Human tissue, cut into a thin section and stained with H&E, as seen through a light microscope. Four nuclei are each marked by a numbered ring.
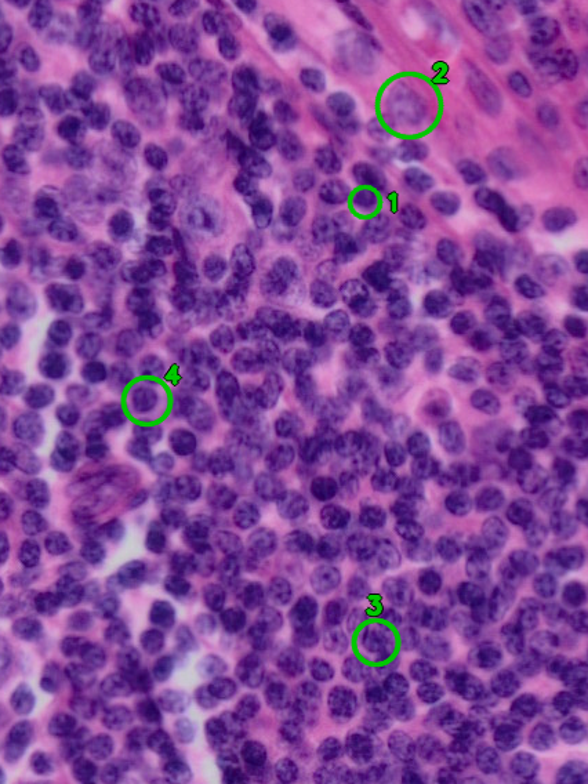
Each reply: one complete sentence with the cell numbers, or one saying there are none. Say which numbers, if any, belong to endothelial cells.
Only the cell numbered 2 is an endothelial cell; none of the others is.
